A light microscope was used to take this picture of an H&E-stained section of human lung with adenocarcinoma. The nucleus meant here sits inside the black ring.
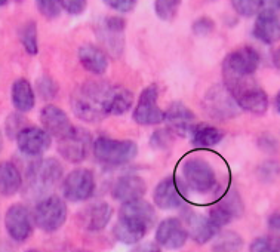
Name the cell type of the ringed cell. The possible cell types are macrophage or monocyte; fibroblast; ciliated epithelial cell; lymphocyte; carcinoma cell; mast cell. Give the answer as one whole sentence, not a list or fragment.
Cell type answer for this item: the ringed cell is a lymphocyte.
